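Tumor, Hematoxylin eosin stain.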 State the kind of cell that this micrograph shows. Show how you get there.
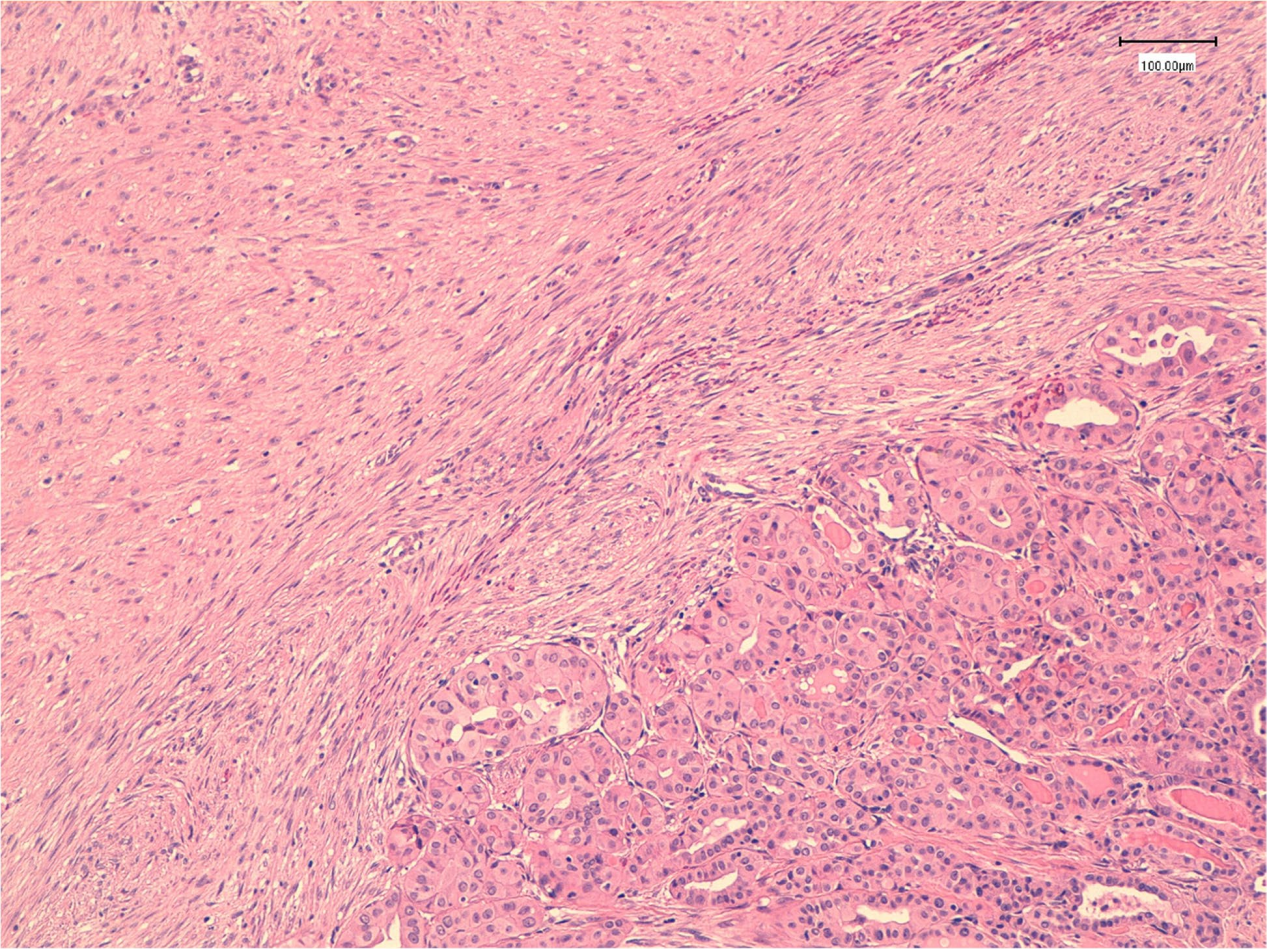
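The upper left of the field is filled with elongated cells with tapered, cigar-shaped nuclei. These elongated cells run in parallel, sweeping bundles. That points to this answer: spindled-shaped cells arranged in fascicles.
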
